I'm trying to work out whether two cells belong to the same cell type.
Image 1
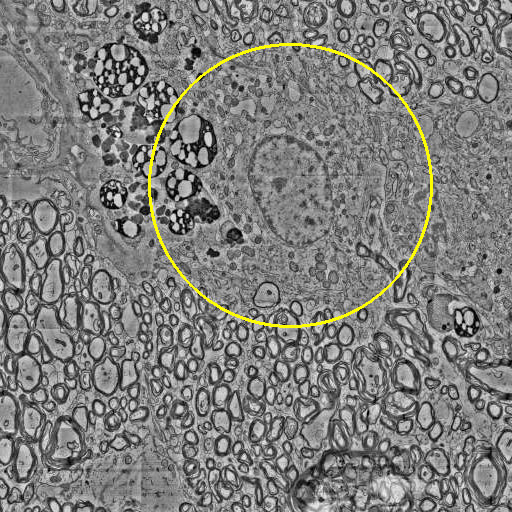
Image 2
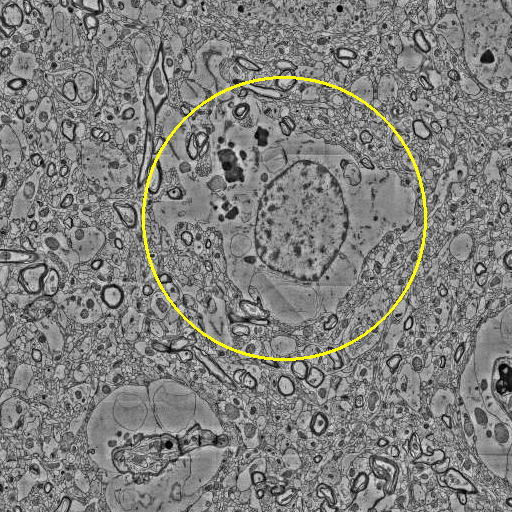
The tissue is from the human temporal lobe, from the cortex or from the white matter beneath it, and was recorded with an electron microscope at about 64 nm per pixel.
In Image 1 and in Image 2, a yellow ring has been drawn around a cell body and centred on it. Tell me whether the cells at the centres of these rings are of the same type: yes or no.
yes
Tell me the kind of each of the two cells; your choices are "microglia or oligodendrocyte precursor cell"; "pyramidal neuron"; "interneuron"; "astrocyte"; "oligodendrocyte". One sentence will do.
Each one of the two ringed cells is an astrocyte.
